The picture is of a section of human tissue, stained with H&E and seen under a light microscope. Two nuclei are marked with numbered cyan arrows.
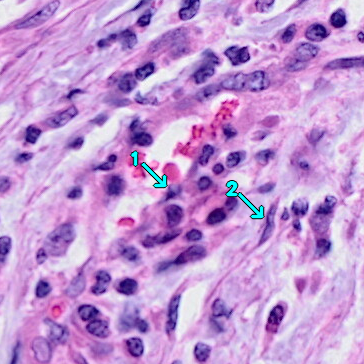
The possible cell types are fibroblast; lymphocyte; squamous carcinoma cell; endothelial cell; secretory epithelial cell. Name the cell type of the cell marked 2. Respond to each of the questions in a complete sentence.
The marked cell with the number 2 is recognised as a fibroblast.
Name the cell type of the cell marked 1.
The numbered cell 1 in this field is an endothelial cell.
